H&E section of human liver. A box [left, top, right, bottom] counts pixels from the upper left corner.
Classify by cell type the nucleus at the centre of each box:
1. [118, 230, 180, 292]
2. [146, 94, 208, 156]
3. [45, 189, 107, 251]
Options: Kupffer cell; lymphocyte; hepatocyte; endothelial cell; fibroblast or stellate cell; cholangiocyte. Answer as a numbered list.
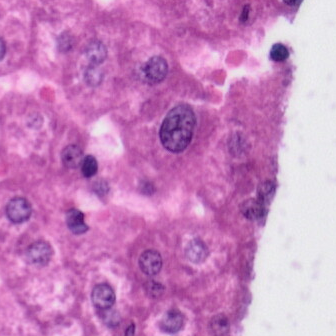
1. hepatocyte
2. hepatocyte
3. endothelial cell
